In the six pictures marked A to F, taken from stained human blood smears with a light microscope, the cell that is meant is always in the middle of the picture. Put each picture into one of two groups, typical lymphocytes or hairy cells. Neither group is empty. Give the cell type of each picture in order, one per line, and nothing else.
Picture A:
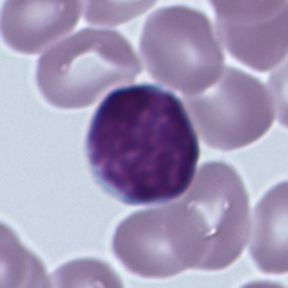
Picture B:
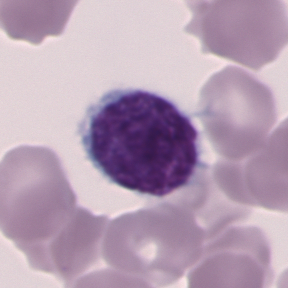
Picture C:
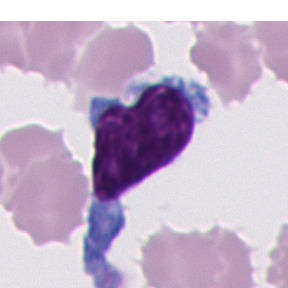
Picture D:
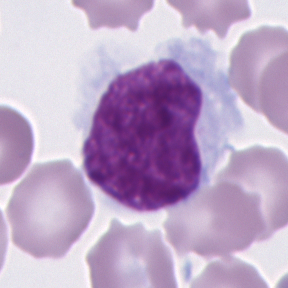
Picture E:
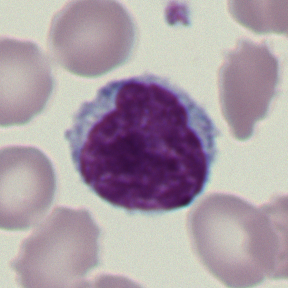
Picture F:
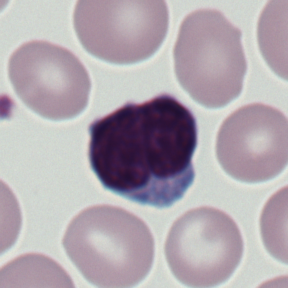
typical lymphocyte
hairy cell
typical lymphocyte
hairy cell
typical lymphocyte
typical lymphocyte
